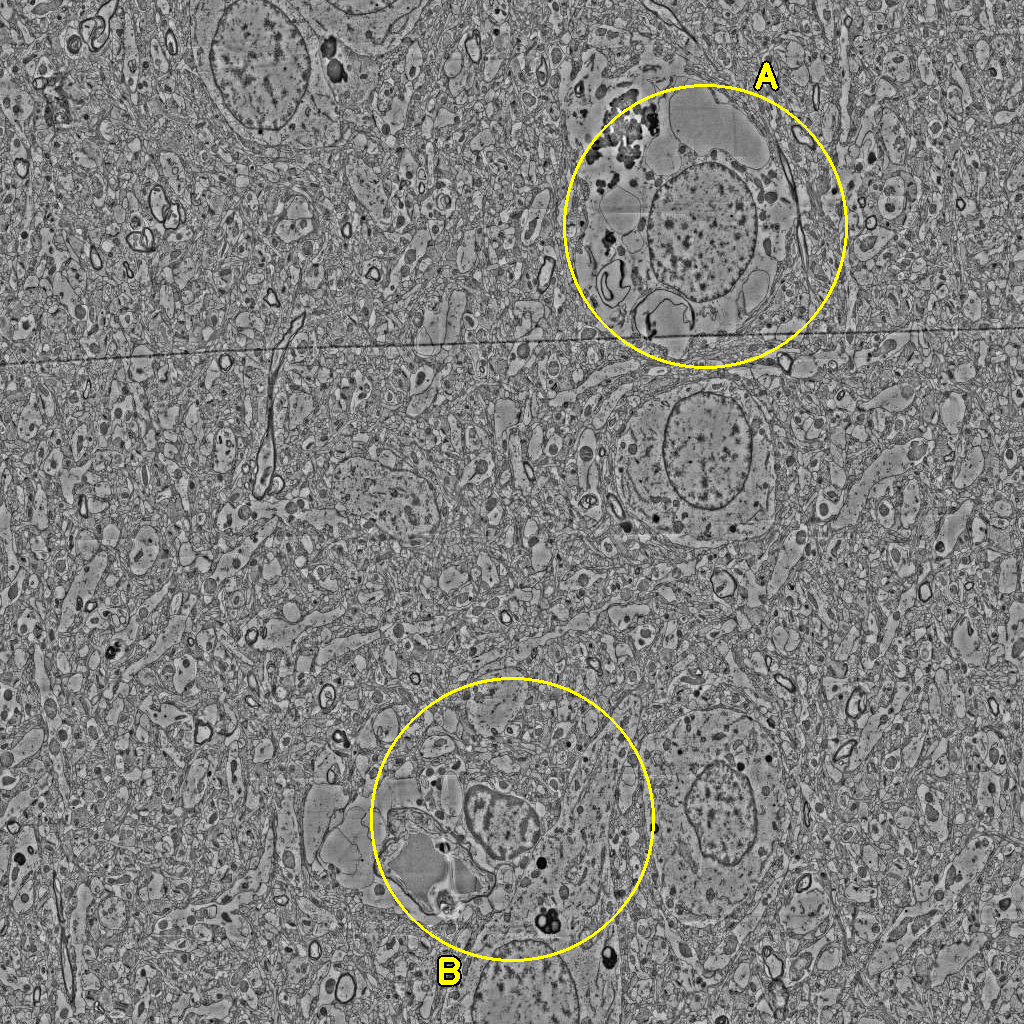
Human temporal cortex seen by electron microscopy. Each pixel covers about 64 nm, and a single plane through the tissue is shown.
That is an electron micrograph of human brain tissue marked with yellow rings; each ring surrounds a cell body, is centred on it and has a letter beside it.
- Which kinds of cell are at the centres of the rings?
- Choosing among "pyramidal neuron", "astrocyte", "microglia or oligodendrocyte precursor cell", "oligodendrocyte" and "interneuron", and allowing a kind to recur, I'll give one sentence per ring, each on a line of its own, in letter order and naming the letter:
Ring A sits around an astrocyte.
Ring B sits around a microglial cell or oligodendrocyte precursor cell.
